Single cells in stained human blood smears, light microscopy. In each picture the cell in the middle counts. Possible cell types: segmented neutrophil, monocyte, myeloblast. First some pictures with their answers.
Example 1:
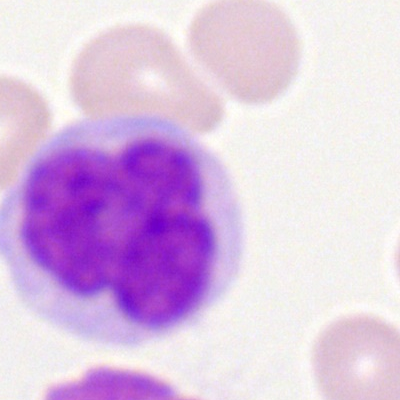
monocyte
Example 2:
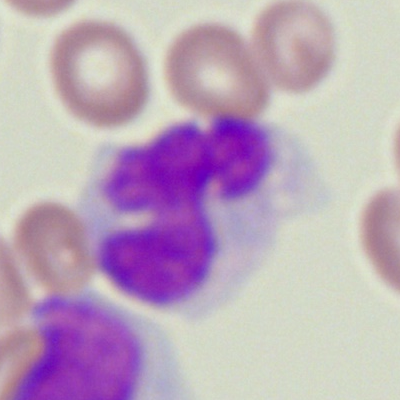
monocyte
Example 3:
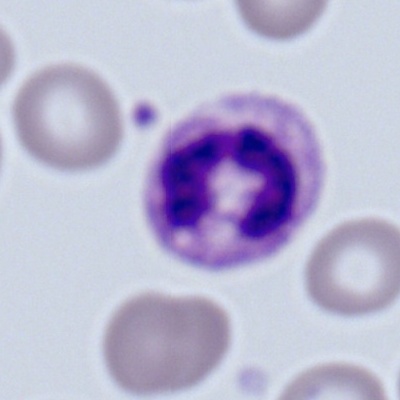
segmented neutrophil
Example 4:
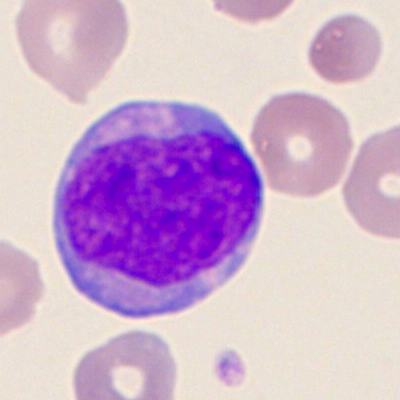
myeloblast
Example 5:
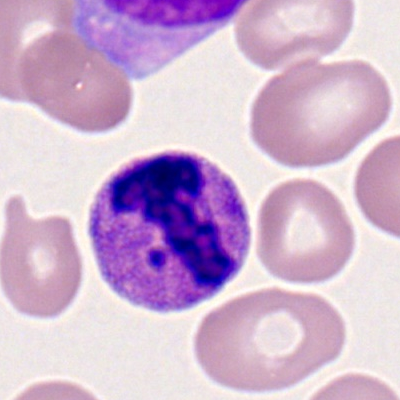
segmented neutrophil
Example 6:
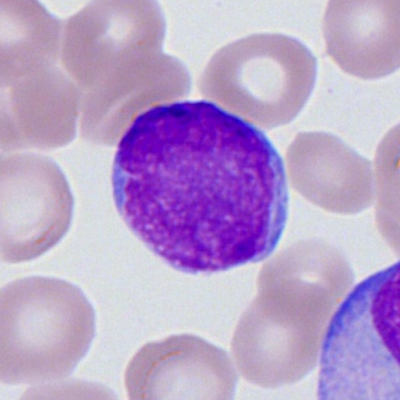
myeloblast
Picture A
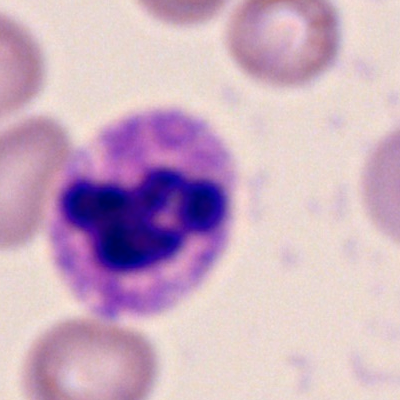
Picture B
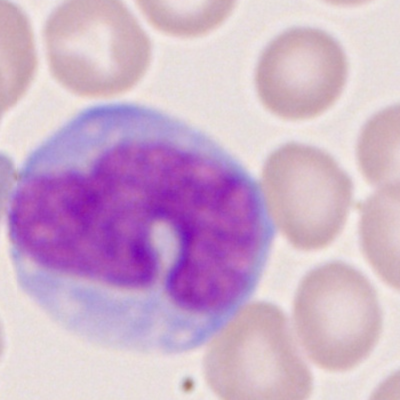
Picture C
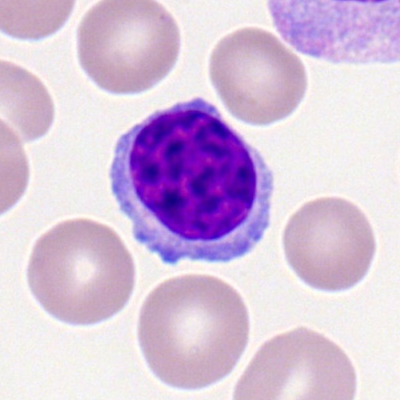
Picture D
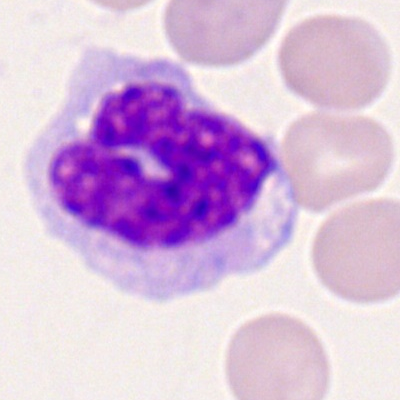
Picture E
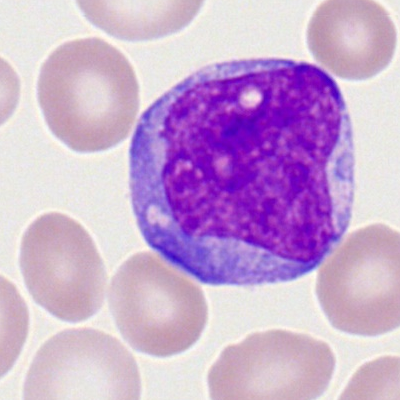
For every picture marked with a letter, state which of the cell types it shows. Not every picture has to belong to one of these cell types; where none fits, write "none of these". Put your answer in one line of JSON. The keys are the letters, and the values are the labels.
{"A": "segmented neutrophil", "B": "monocyte", "C": "none of these", "D": "monocyte", "E": "myeloblast"}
